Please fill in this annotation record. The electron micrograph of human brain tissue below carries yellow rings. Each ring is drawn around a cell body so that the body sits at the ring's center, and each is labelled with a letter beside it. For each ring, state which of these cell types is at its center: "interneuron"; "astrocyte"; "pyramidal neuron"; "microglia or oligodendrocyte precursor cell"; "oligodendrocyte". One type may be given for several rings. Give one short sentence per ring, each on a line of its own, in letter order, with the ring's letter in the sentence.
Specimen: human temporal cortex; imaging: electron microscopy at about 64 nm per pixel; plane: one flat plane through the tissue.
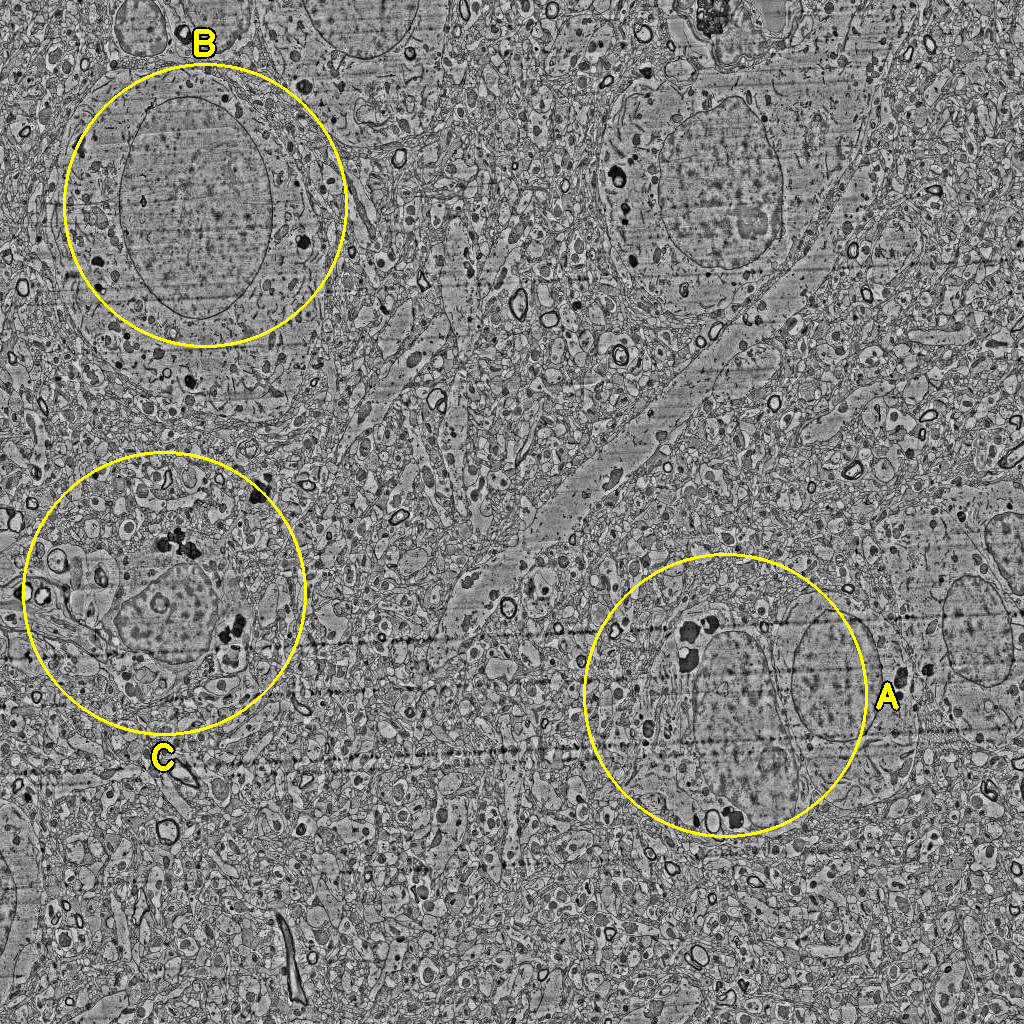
Ring A is drawn around an interneuron.
Ring B is drawn around a pyramidal neuron.
Ring C is drawn around an oligodendrocyte.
